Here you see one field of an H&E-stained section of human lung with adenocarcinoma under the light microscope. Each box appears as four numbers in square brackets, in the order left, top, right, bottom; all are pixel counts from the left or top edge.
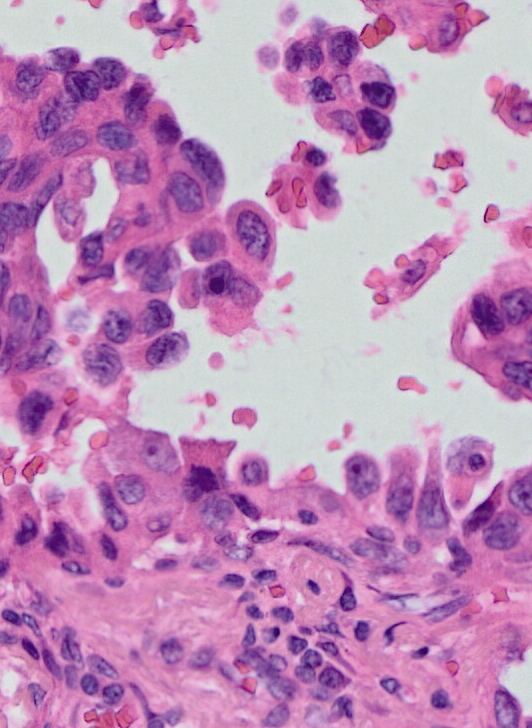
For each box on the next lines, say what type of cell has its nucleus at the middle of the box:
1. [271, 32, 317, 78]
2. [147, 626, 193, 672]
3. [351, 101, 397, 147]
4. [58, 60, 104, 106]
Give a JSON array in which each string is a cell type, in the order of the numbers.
["carcinoma cell", "plasma cell", "carcinoma cell", "carcinoma cell"]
